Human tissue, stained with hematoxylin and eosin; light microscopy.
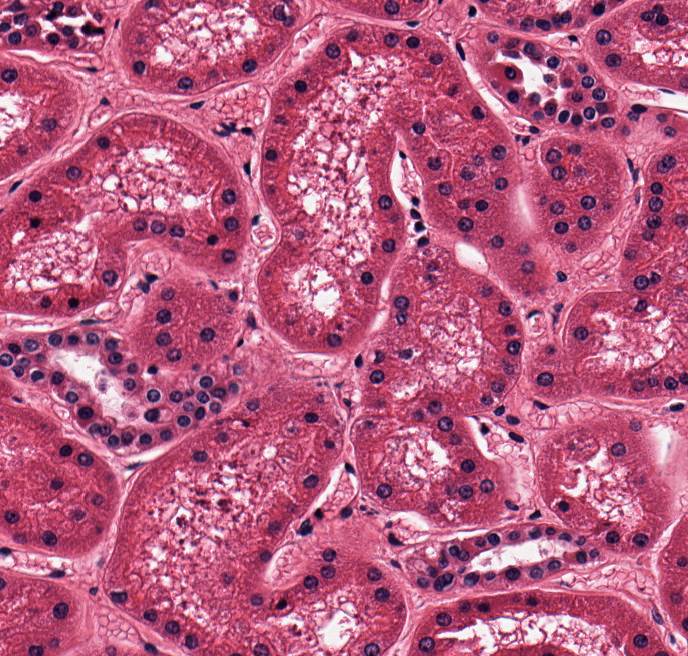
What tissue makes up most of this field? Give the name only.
cortical labyrinth of the kidney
